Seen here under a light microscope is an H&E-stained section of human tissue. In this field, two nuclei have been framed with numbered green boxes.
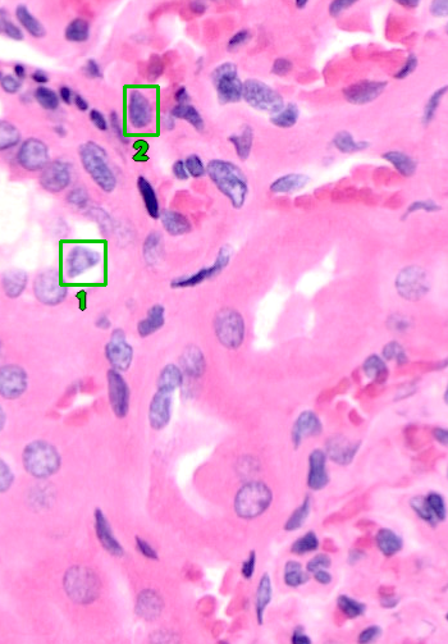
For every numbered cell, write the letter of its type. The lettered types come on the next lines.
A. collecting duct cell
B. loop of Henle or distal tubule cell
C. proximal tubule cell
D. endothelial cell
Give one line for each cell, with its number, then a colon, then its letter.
1: B
2: D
